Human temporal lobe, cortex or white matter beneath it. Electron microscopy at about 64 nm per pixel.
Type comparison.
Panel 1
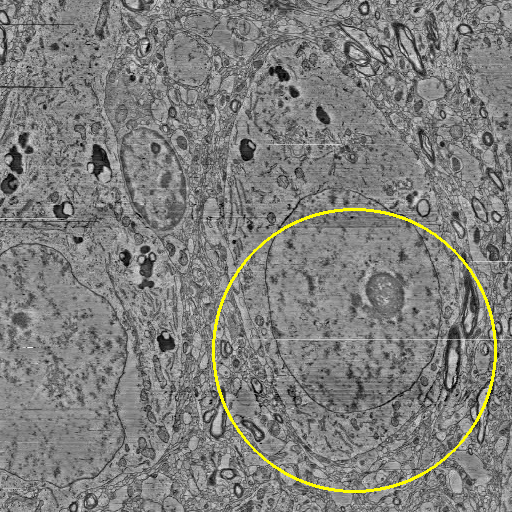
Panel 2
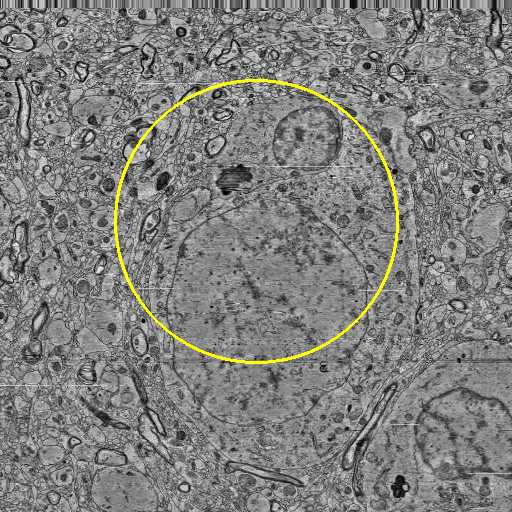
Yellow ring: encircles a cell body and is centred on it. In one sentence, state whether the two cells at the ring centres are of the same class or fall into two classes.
In these panels, the two cells at the ring centres are of the same class.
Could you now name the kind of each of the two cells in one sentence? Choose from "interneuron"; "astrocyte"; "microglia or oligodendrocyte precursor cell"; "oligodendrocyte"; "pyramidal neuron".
The first and the second cell are each a pyramidal neuron.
